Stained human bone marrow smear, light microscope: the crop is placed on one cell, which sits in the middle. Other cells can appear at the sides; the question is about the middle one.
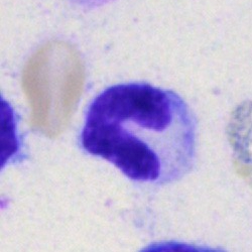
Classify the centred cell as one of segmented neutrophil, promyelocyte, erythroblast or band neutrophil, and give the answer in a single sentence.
The middle of this crop holds a band neutrophil.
